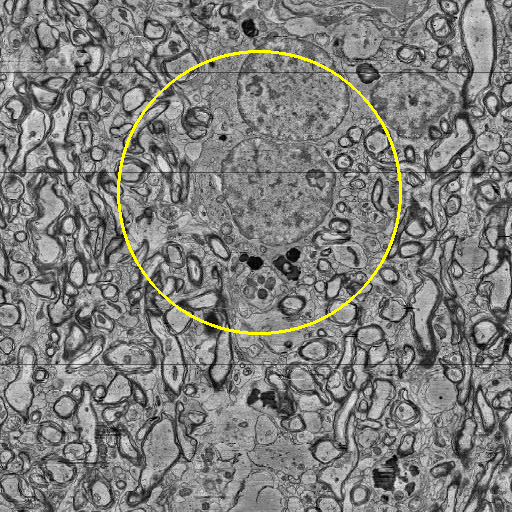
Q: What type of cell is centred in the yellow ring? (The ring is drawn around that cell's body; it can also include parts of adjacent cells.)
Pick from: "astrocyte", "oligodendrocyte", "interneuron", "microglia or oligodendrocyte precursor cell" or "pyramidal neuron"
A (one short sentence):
The yellow ring is centred on an oligodendrocyte.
